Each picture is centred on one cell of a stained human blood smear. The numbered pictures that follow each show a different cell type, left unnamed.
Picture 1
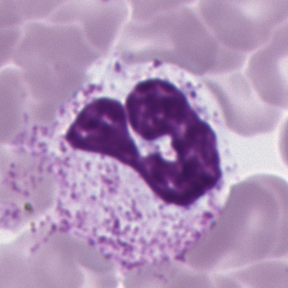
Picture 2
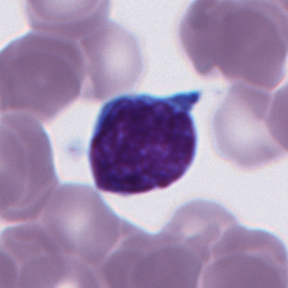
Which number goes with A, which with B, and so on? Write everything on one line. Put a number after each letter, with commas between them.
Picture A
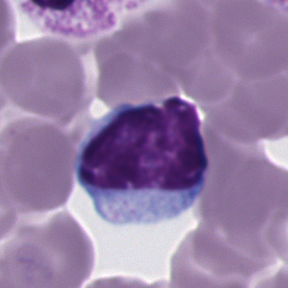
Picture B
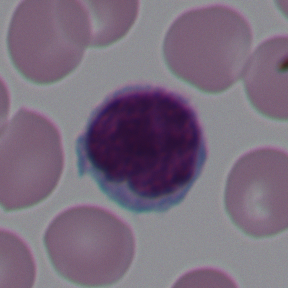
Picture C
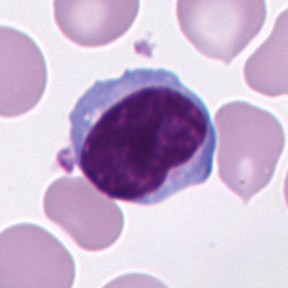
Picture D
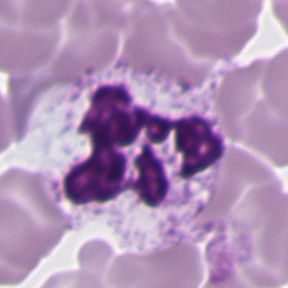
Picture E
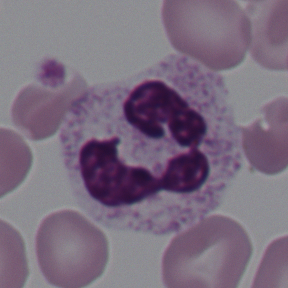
A 2, B 2, C 2, D 1, E 1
